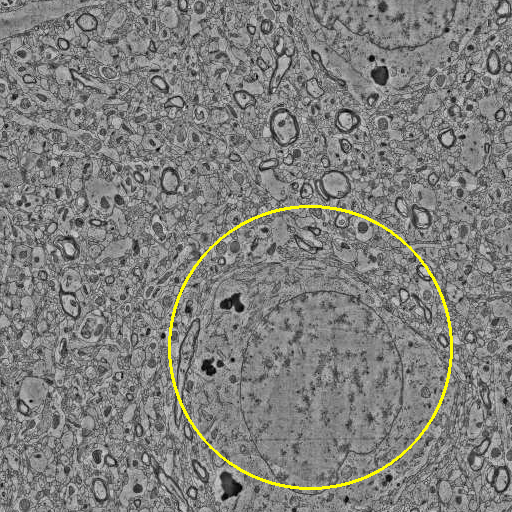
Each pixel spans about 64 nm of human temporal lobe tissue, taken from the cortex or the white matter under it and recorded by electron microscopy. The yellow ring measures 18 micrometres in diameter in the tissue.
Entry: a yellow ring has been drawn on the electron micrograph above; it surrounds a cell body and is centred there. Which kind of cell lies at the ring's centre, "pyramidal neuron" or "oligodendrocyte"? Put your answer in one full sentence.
The cell sitting at the ring's centre is a pyramidal neuron in the micrograph above.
